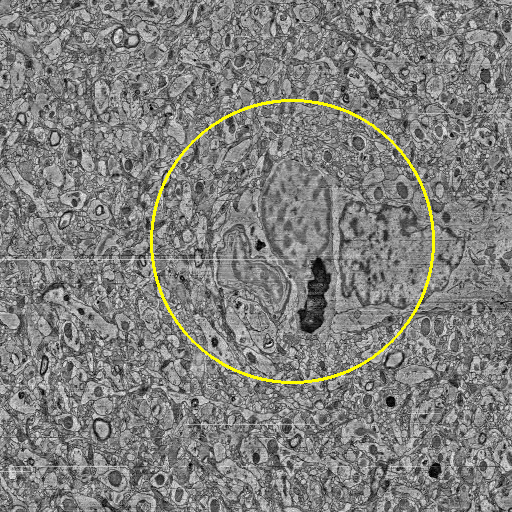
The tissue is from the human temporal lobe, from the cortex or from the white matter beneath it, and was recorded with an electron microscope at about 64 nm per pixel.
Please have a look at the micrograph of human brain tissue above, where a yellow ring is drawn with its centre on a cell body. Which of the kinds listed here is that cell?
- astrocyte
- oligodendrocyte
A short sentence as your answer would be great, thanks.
At the centre of the ring sits an oligodendrocyte.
